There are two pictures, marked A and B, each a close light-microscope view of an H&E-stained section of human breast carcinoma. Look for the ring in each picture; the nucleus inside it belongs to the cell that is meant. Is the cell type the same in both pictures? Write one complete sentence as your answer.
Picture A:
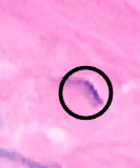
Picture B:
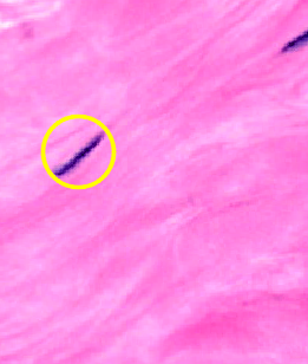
Yes, both are fibroblasts.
